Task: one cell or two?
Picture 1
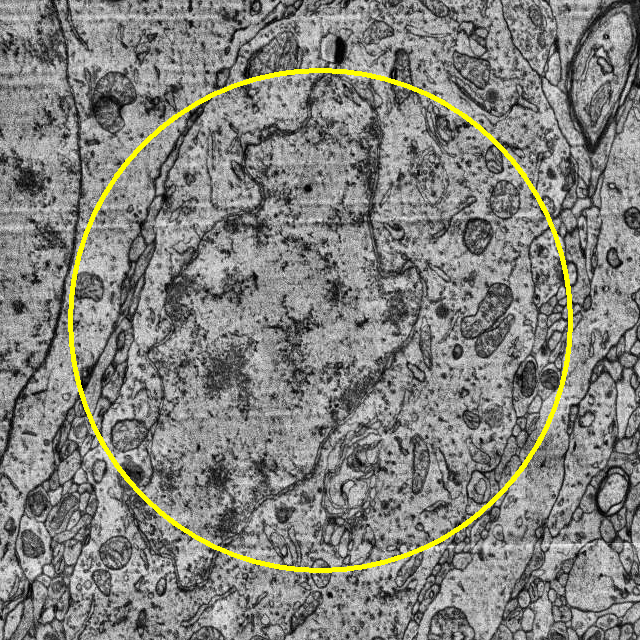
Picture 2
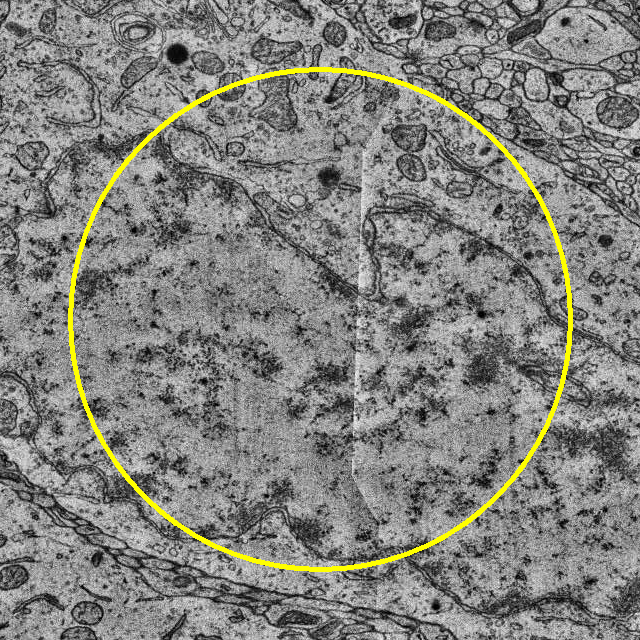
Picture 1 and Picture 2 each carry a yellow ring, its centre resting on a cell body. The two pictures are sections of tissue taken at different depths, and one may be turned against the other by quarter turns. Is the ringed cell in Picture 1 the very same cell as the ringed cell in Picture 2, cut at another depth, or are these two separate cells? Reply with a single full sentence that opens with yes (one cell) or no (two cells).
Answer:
Yes, the same cell appears within both yellow rings.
